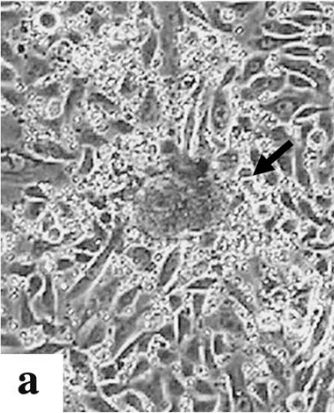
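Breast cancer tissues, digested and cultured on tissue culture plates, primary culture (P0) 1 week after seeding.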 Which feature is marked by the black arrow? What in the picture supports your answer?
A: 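The arrow points at a dense, dark, multilayered cluster of cells. Flattened cells spread outward from the cluster onto the dish. That points to this answer: organoids.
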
